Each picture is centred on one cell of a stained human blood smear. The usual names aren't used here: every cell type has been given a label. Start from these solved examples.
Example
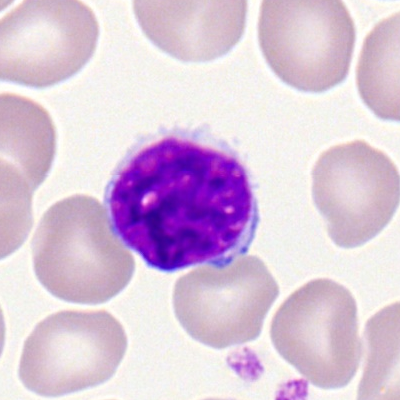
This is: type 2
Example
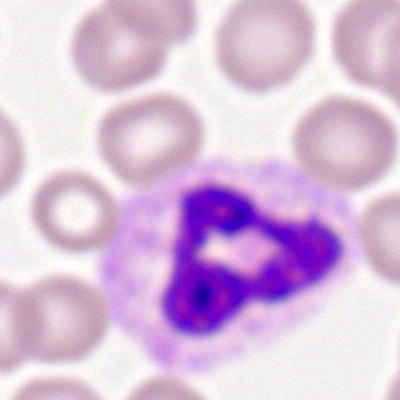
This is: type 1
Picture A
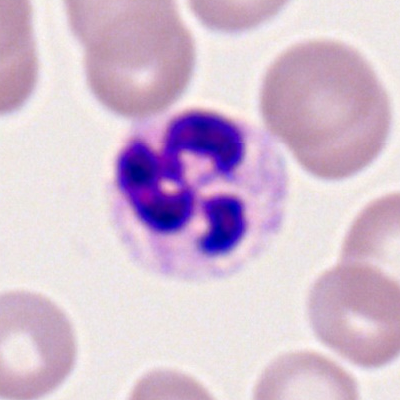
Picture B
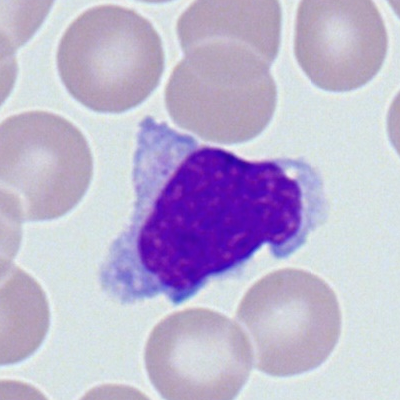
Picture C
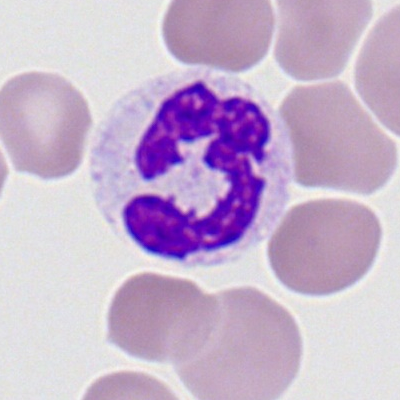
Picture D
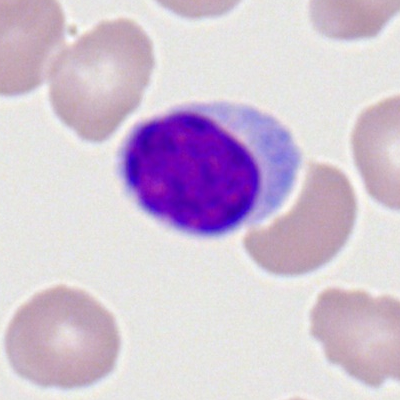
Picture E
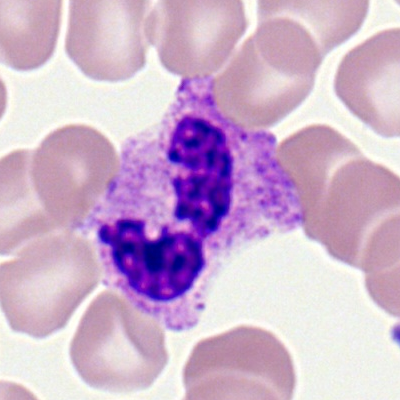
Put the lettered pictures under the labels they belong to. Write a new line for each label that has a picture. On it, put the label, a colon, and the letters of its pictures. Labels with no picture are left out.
type 2: B, D
type 1: A, C, E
